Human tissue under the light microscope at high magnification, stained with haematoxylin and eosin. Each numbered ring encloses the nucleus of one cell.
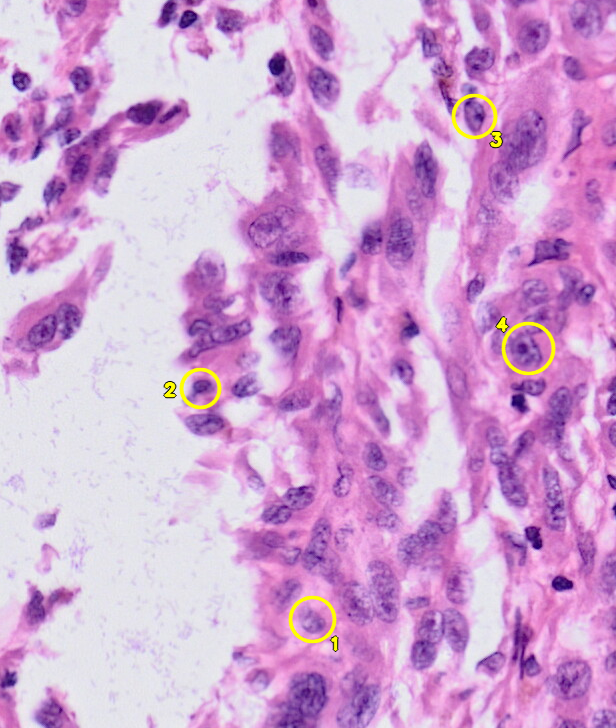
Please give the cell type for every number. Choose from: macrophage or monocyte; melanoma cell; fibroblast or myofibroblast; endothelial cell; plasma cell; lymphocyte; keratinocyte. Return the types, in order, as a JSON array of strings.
["endothelial cell", "macrophage or monocyte", "macrophage or monocyte", "melanoma cell"]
